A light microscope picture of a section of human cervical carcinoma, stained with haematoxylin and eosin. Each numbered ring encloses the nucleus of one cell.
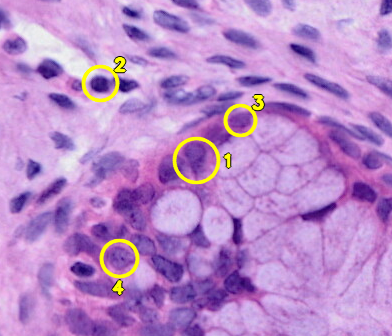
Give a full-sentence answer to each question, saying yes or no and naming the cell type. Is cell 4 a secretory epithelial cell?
Yes, on this slide, the cell with number 4 is a secretory epithelial cell.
